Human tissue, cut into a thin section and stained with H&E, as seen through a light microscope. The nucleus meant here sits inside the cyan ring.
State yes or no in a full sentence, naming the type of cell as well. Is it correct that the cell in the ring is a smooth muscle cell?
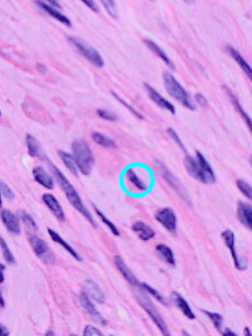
Yes, it is a smooth muscle cell that the cell in the ring represents in this section.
